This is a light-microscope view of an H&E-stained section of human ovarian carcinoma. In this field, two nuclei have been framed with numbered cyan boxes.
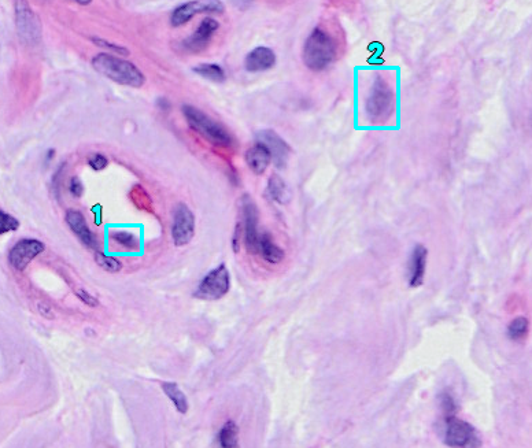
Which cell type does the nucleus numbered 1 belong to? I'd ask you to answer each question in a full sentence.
The cell whose nucleus carries the number 1 is an endothelial cell.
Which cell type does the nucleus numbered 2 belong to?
That cell with number 2 is a fibroblast.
